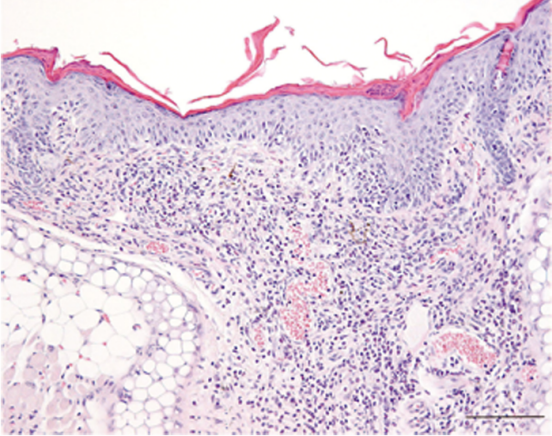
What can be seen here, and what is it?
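This is a section of skin stained pink and purple, with a thick epidermis along the top and flaky pink keratin lifting off its surface. Beneath the epidermis, the dermis is densely packed with small cells with dark purple nuclei, which crowd between the fibres. Several vessels in the dermis are filled with red blood cells. At the lower left lies a group of large, pale, empty-looking rounded cells. A few fine brown granules are scattered within the infiltrated dermis.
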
